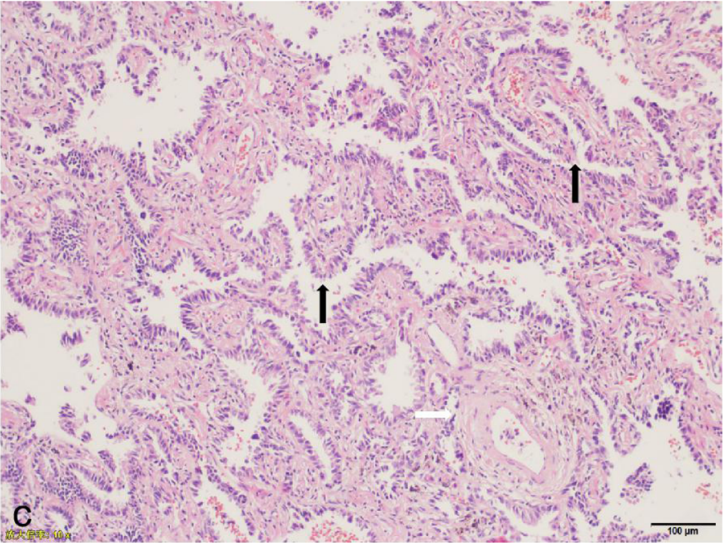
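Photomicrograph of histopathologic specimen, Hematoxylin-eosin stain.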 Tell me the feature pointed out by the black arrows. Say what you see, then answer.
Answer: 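Papillary pattern. Branching fronds with pink stromal cores project into open spaces. The fronds are lined by a layer of cells with dark purple nuclei.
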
